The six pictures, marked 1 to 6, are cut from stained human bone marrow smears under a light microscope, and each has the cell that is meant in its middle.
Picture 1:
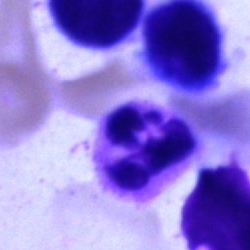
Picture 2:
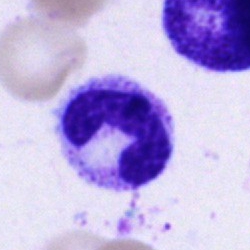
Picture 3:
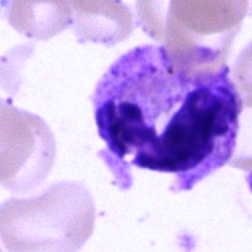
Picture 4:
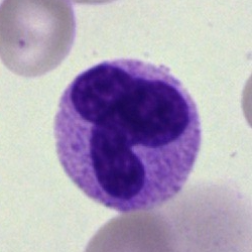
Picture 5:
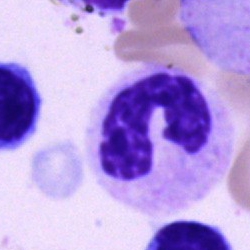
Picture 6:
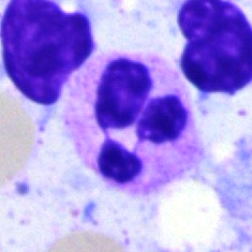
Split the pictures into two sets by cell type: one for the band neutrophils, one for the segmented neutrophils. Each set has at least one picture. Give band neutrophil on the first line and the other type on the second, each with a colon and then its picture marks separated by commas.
band neutrophil: 2, 5
segmented neutrophil: 1, 3, 4, 6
